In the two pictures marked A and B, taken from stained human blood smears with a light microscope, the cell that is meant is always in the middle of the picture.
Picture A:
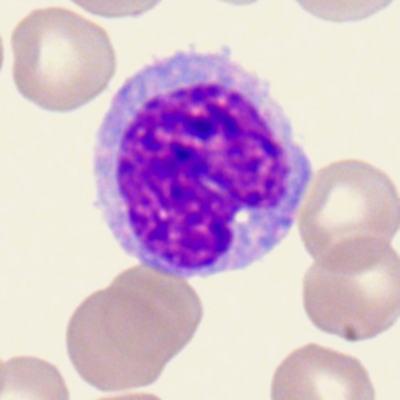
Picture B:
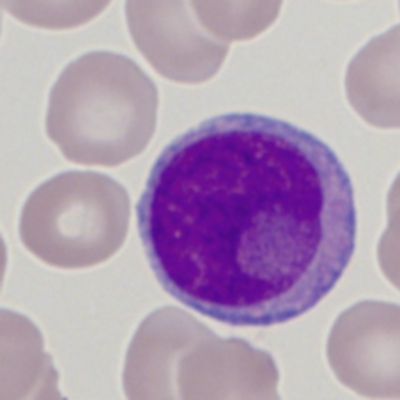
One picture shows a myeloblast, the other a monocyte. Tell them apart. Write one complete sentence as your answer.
It is picture A that shows a monocyte, and picture B that shows a myeloblast.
